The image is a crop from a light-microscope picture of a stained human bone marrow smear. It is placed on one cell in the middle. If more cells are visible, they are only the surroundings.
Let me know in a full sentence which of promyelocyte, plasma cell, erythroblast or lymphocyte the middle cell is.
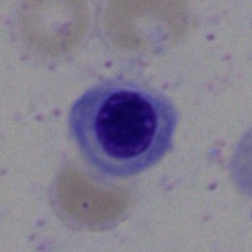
Classified as an erythroblast is the cell in the middle of this crop.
